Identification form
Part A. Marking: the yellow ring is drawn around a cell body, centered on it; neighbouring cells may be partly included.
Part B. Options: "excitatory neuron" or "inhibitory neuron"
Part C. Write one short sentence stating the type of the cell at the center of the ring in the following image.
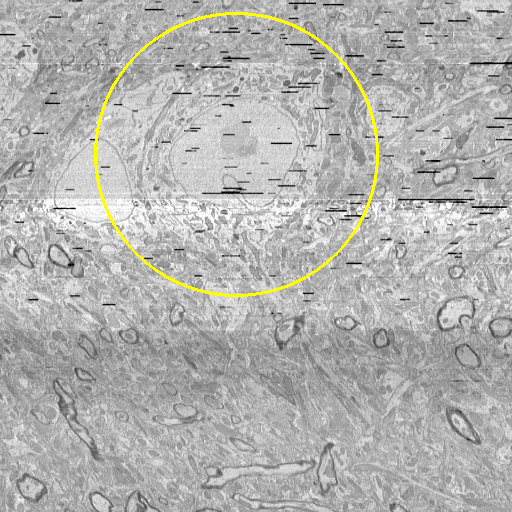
The center of the ring holds an inhibitory neuron.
